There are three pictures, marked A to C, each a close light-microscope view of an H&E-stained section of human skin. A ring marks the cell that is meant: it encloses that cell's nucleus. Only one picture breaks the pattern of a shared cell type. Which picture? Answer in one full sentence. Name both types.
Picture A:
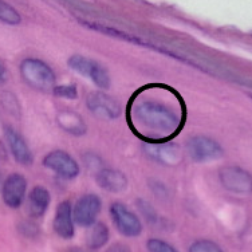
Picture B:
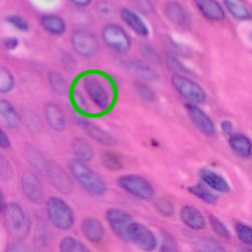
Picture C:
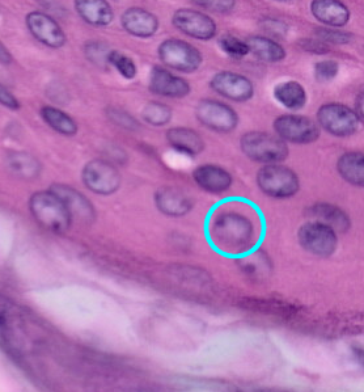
The different one is picture B; it shows a basal keratinocyte, whereas all the others show suprabasal keratinocytes.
